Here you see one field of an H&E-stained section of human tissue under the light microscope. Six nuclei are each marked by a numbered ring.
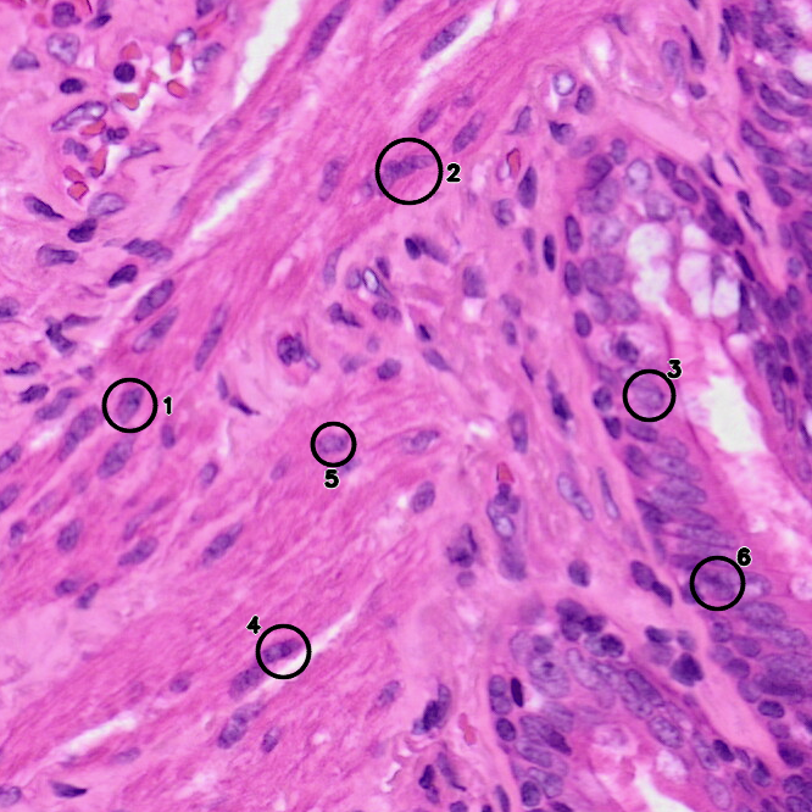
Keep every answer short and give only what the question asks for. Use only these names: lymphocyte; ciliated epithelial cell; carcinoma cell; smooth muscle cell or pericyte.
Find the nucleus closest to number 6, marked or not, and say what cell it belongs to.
lymphocyte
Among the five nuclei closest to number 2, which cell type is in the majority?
smooth muscle cell or pericyte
